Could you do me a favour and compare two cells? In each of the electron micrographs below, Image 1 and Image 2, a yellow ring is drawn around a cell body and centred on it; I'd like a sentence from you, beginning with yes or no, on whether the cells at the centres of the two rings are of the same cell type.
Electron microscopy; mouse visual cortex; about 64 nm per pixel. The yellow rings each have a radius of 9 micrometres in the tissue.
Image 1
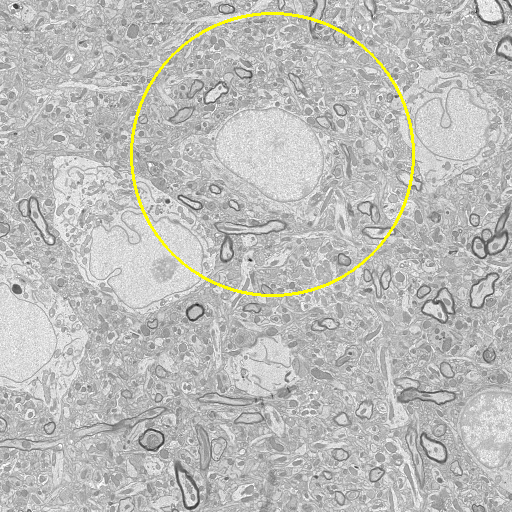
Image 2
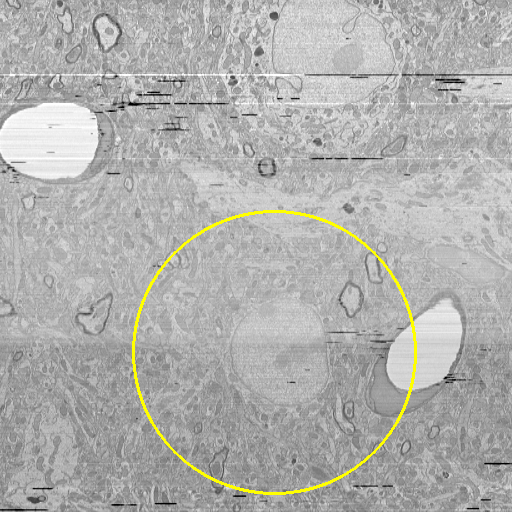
Yes, the two cells are of the same cell type.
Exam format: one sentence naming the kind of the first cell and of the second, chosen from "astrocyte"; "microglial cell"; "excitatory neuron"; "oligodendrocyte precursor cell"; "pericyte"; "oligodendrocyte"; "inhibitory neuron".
Each of the two rings is centred on an astrocyte.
